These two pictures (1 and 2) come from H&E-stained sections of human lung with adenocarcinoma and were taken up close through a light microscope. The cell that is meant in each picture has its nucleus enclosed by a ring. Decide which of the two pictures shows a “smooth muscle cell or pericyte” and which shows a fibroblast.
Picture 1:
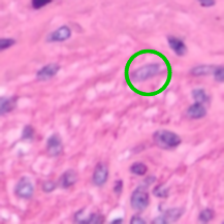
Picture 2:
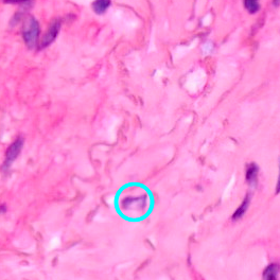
1: smooth muscle cell or pericyte
2: fibroblast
